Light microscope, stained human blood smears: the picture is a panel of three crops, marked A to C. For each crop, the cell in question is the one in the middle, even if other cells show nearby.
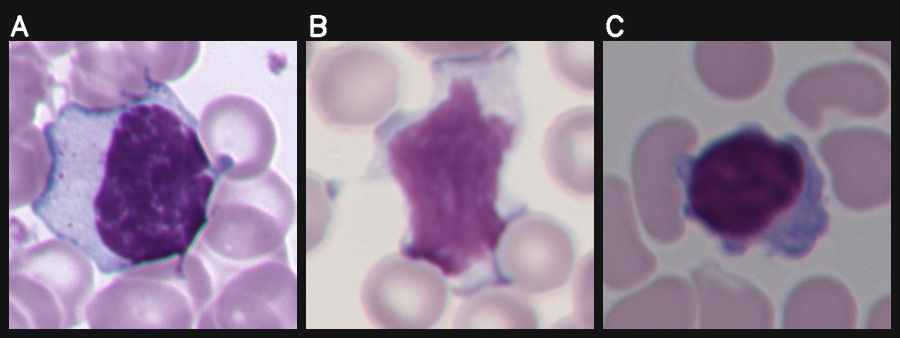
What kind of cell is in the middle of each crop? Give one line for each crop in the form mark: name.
A: large granular lymphocyte
B: typical lymphocyte
C: typical lymphocyte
